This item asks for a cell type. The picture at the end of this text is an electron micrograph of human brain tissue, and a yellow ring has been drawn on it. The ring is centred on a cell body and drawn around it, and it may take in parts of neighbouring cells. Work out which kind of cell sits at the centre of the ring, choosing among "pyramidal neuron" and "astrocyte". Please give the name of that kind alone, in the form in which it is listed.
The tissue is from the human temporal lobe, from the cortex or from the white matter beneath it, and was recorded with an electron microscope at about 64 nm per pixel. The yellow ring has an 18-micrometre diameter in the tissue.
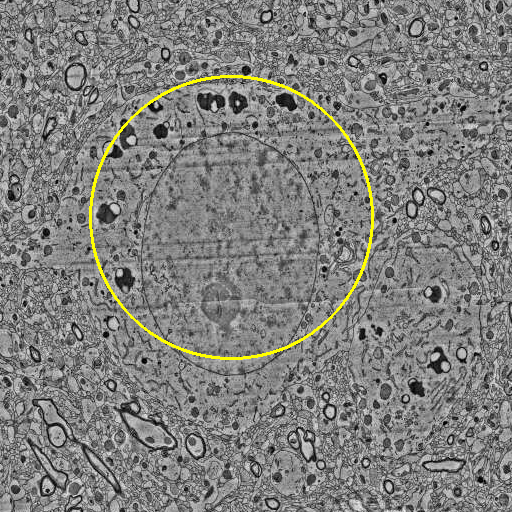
pyramidal neuron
